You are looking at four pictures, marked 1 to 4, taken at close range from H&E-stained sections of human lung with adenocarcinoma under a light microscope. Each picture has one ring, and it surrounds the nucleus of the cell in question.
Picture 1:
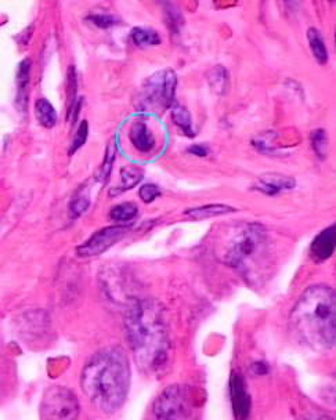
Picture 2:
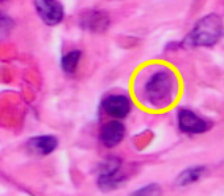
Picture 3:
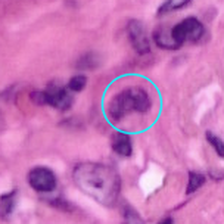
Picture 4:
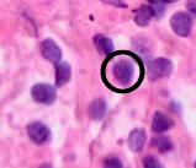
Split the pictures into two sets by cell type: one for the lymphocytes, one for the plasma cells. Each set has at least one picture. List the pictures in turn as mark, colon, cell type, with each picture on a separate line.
1: plasma cell
2: plasma cell
3: plasma cell
4: lymphocyte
